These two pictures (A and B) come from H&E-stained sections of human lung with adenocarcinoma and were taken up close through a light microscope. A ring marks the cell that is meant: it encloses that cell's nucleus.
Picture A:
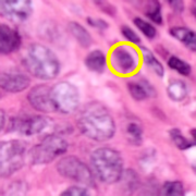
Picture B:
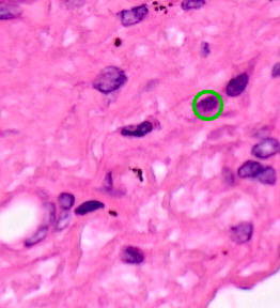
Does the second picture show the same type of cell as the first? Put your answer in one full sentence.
Yes, the two pictures both show plasma cells.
